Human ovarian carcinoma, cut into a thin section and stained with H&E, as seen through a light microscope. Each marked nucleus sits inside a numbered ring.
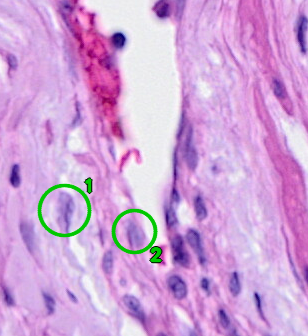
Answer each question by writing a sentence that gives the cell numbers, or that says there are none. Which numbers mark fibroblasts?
Cell 1 is a fibroblast; every other numbered cell is something else.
